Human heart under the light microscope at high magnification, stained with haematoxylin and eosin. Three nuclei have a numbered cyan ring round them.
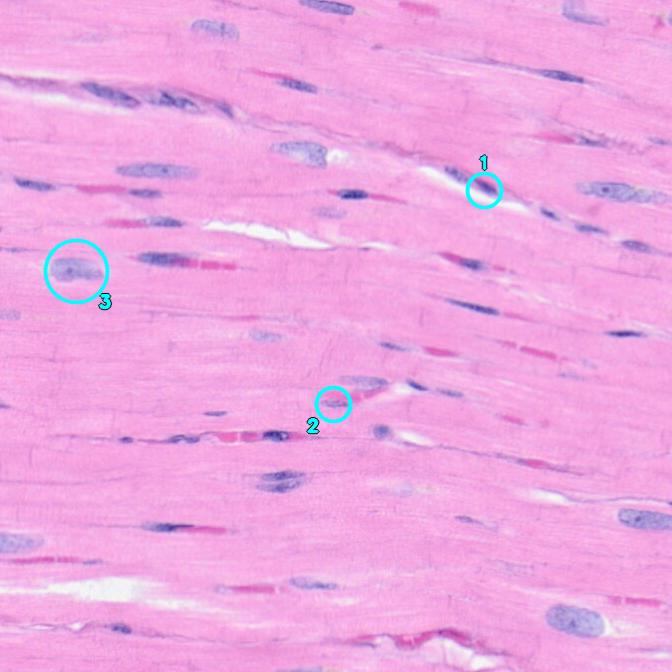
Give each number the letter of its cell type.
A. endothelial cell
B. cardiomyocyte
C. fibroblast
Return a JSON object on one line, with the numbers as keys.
{"1": "A", "2": "A", "3": "B"}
